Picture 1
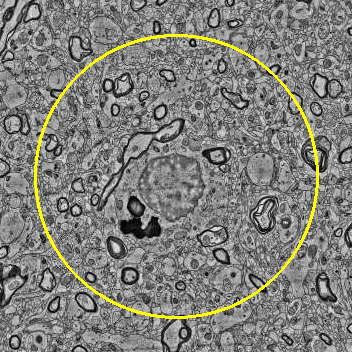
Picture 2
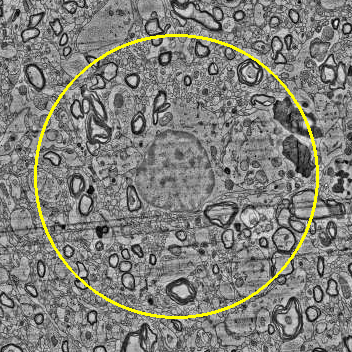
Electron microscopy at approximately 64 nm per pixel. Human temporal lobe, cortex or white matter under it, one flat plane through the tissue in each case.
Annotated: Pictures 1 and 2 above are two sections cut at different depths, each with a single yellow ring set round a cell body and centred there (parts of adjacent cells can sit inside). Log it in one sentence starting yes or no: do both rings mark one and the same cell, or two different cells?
No, each ring in the micrograph marks a distinct cell.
